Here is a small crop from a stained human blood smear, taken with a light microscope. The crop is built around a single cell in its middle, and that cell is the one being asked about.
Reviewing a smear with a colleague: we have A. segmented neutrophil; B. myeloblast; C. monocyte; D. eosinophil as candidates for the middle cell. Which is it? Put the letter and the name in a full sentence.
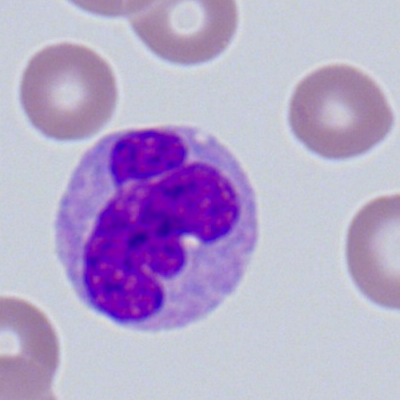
Since the cell in the centre is a monocyte, the correct option is C.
